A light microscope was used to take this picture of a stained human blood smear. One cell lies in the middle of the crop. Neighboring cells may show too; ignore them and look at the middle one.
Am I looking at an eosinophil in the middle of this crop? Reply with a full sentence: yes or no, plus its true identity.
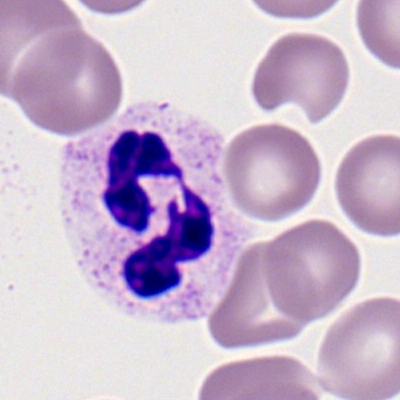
No, the centred cell is a neutrophil instead of an eosinophil.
